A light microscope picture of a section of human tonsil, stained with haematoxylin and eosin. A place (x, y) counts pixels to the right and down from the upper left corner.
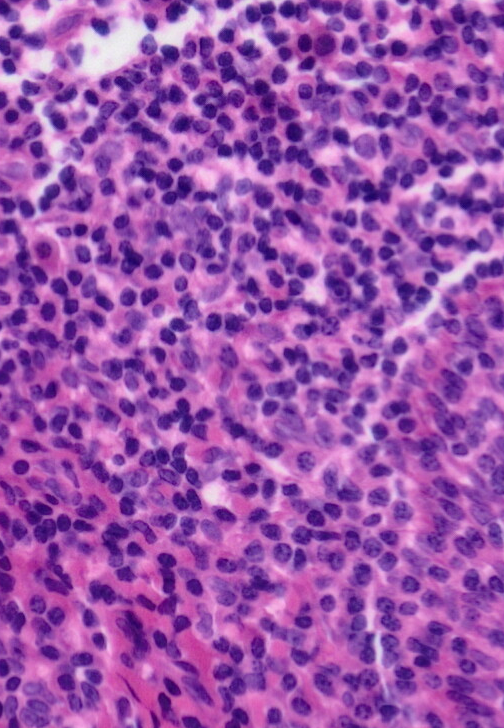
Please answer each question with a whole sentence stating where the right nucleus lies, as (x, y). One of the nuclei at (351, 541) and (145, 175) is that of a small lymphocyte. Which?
The nucleus of the pair that lies within a small lymphocyte is at (145, 175).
